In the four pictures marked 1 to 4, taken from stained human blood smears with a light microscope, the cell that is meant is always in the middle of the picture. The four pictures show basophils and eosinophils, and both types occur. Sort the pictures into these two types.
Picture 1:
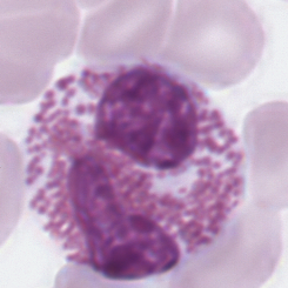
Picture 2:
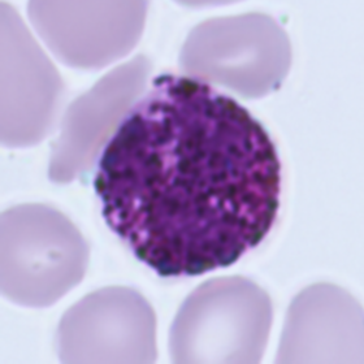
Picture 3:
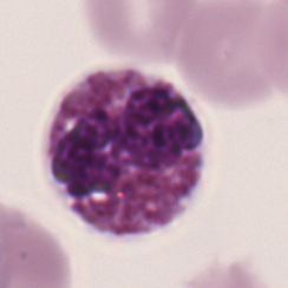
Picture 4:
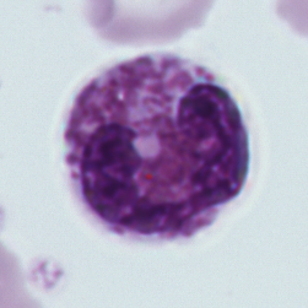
1: eosinophil
2: basophil
3: eosinophil
4: eosinophil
